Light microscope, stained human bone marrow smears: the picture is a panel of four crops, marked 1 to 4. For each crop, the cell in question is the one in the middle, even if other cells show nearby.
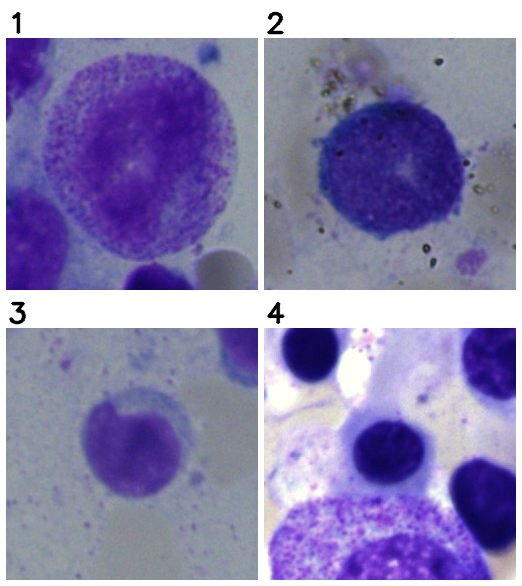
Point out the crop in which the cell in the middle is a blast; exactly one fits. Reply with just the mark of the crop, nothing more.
2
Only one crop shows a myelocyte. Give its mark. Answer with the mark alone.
1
